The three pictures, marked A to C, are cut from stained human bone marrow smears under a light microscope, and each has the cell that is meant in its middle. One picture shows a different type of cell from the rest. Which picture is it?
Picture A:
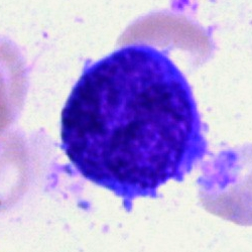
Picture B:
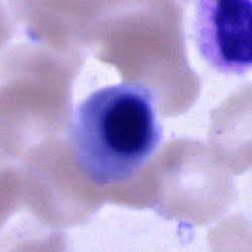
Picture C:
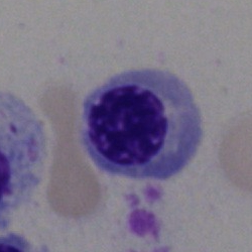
A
